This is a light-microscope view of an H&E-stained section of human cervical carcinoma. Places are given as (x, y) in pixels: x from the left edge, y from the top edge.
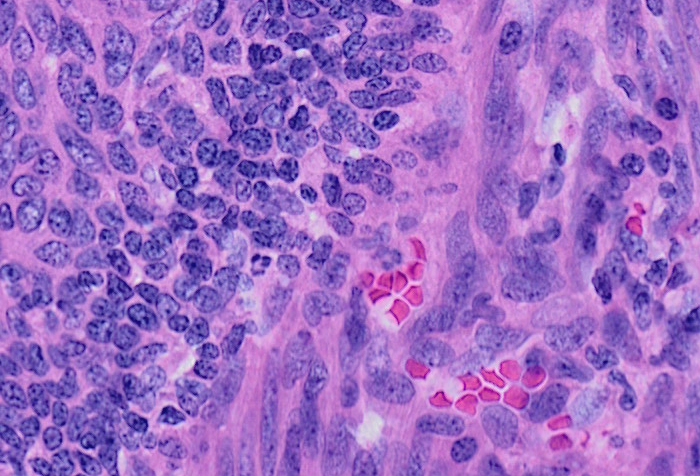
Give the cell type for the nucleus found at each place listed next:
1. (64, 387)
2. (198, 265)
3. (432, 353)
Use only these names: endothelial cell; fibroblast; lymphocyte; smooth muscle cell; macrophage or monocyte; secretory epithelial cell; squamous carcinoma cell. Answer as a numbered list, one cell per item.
1. squamous carcinoma cell
2. squamous carcinoma cell
3. endothelial cell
